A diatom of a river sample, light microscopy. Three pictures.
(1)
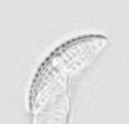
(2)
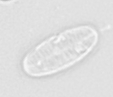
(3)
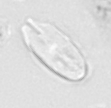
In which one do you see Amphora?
In picture 1.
